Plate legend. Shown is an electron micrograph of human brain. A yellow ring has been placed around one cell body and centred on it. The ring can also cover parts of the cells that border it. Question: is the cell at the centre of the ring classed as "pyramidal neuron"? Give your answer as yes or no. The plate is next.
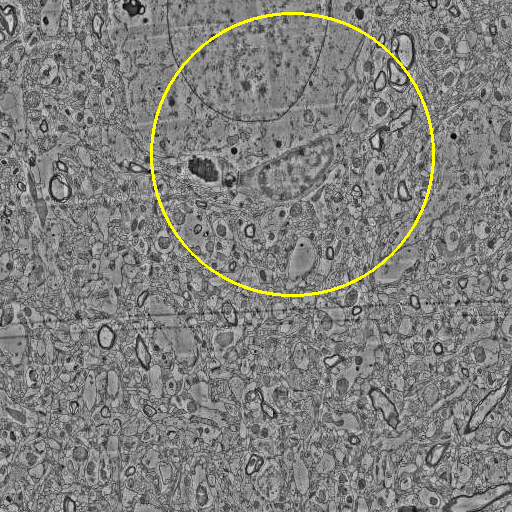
No, the ringed cell is of another kind.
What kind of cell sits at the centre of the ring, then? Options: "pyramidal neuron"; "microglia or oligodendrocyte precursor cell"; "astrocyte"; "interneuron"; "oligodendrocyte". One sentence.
Instead, what sits at the centre of the ring is an oligodendrocyte.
